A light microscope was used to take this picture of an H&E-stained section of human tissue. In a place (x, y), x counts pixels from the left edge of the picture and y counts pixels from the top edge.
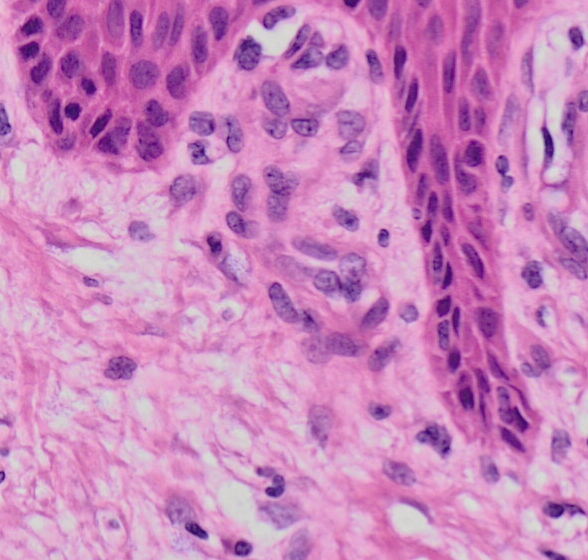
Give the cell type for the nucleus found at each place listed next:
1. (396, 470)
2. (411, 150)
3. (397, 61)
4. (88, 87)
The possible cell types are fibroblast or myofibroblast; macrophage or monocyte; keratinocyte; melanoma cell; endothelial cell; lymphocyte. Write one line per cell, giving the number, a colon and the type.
1: fibroblast or myofibroblast
2: keratinocyte
3: keratinocyte
4: keratinocyte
